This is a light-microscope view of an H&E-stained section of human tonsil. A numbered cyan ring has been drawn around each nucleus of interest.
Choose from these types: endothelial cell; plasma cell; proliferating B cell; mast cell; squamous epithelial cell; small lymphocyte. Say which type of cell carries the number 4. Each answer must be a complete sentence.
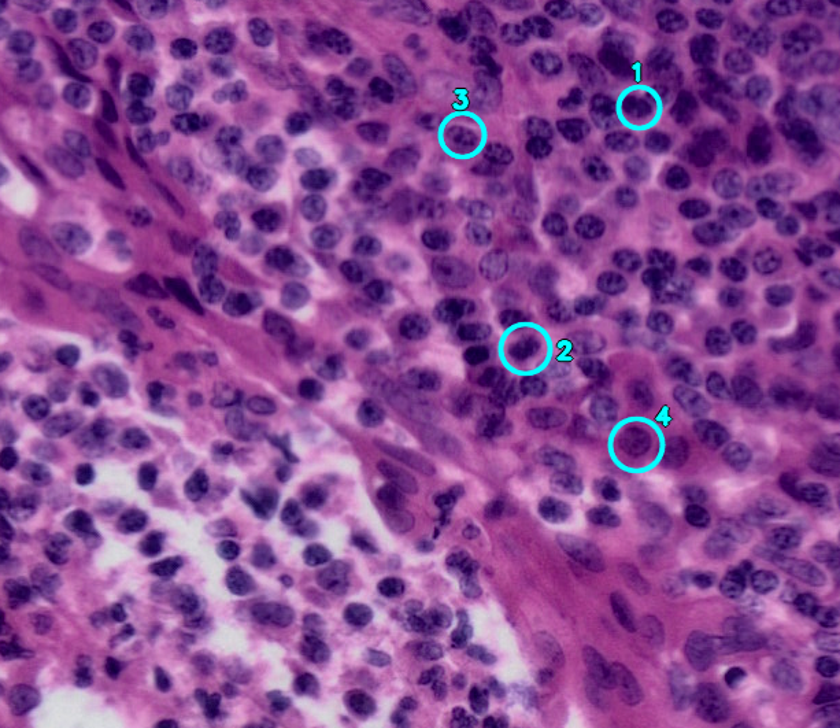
The cell that is numbered 4 is a squamous epithelial cell.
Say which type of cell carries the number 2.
The numbered cell 2 is identified here as a plasma cell.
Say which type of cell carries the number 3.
Within this field of view, the cell labelled 3 is a plasma cell.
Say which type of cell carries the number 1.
The marked cell with the number 1 is recognised as a plasma cell.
